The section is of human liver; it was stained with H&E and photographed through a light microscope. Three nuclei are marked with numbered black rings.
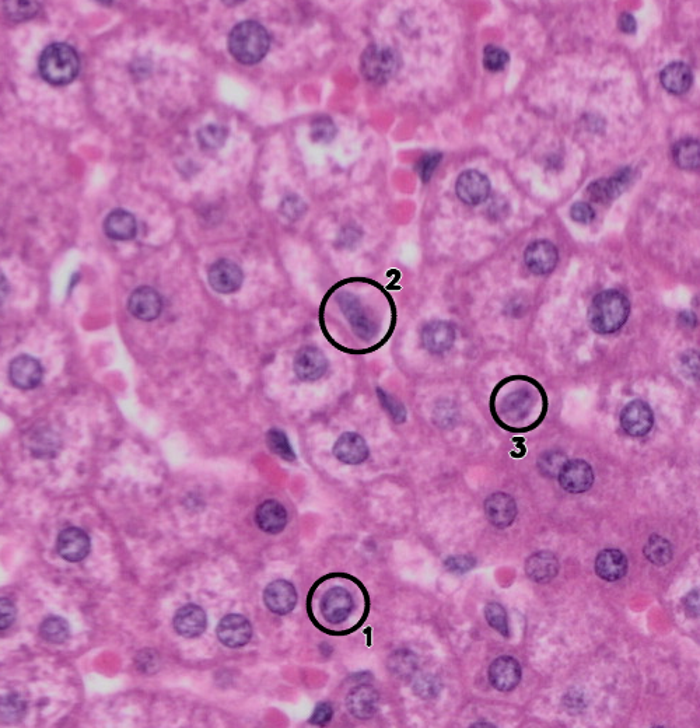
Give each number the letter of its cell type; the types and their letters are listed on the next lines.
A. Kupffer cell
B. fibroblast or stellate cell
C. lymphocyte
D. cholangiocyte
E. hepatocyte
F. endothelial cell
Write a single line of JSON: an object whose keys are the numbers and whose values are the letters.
{"1": "E", "2": "A", "3": "E"}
